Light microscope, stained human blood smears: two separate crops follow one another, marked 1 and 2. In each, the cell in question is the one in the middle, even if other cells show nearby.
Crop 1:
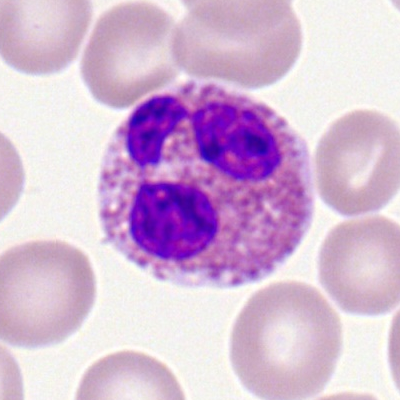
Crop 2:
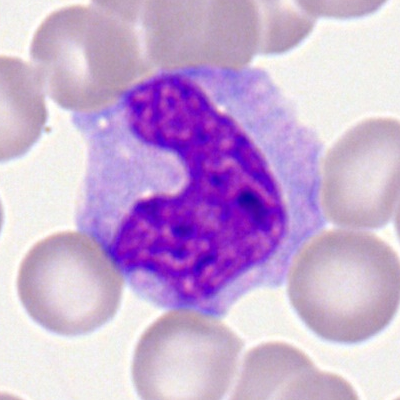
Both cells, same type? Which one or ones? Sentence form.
No, the middle of crop 1 shows an eosinophil, and the middle of crop 2 shows a monocyte.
